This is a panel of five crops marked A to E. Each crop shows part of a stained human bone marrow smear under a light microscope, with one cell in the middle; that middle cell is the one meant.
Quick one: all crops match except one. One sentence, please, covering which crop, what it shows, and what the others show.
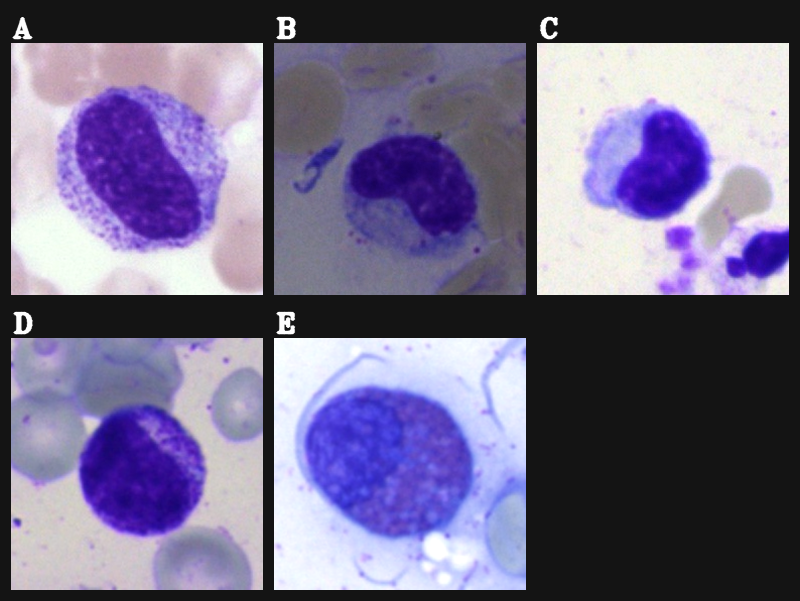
The remaining crops are all metamyelocytes, so crop E, being an eosinophil, is the exception.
